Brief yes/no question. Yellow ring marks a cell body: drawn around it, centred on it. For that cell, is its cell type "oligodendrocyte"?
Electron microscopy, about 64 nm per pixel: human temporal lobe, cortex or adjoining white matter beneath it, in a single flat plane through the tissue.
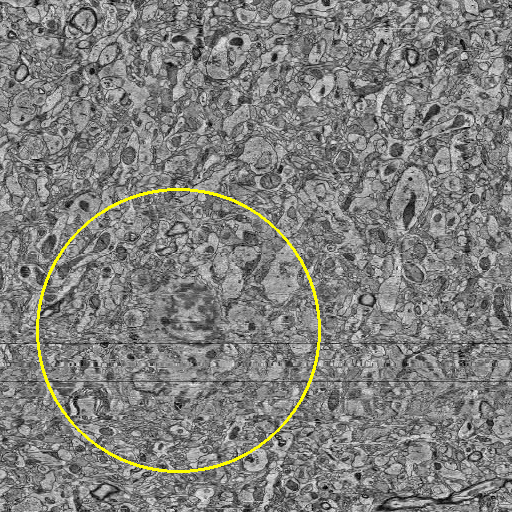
Yes, that is the cell type.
